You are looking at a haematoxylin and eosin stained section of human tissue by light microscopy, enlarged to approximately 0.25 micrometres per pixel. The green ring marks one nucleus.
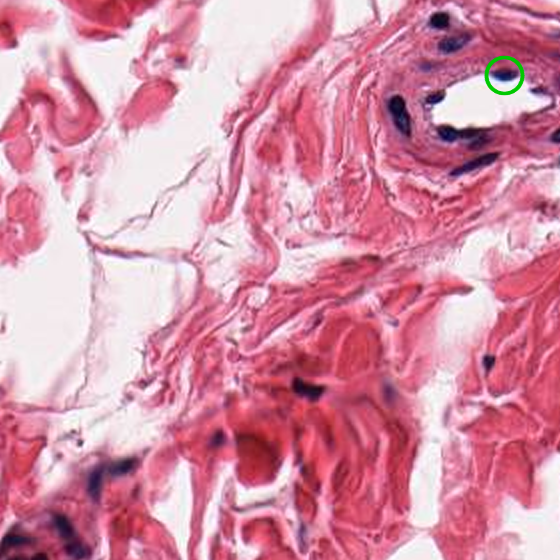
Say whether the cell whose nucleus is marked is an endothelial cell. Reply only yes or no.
yes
